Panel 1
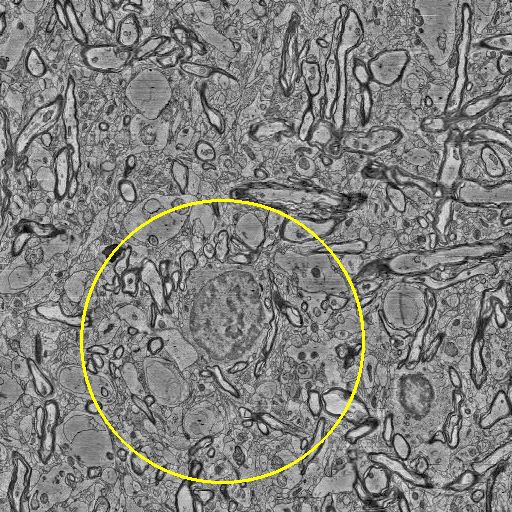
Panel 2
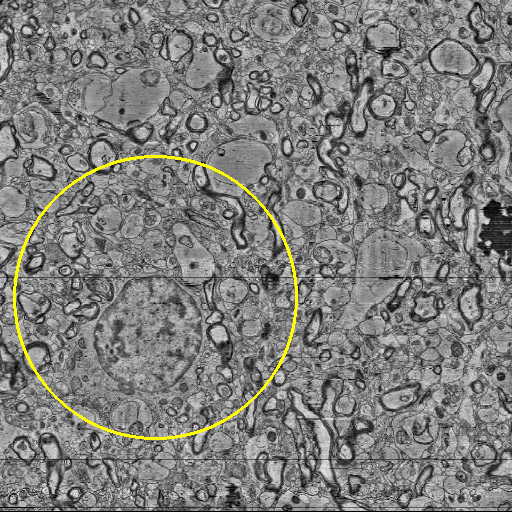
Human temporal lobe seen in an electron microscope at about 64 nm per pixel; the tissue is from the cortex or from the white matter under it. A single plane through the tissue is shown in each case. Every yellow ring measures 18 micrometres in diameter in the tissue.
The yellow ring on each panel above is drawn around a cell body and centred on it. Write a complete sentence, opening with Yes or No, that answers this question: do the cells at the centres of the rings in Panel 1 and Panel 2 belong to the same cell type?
Yes, both cells belong to the same cell type.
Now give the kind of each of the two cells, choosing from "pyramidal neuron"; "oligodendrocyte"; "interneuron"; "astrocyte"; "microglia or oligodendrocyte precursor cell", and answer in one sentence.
The first and the second cell are each an oligodendrocyte.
